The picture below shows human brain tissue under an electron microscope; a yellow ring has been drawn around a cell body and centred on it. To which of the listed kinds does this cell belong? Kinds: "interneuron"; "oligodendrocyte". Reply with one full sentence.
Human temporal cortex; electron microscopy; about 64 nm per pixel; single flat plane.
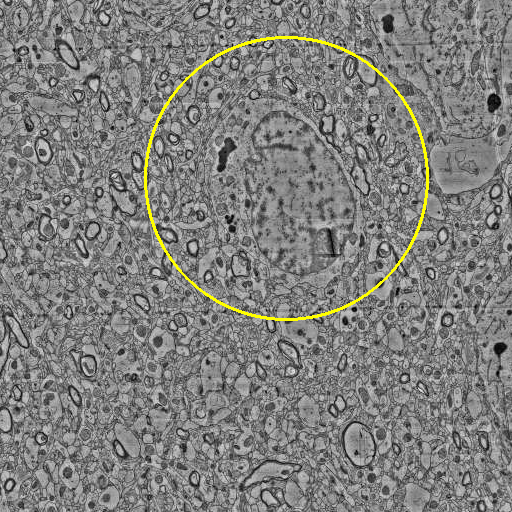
It is an interneuron that the yellow ring in the picture is centred on.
